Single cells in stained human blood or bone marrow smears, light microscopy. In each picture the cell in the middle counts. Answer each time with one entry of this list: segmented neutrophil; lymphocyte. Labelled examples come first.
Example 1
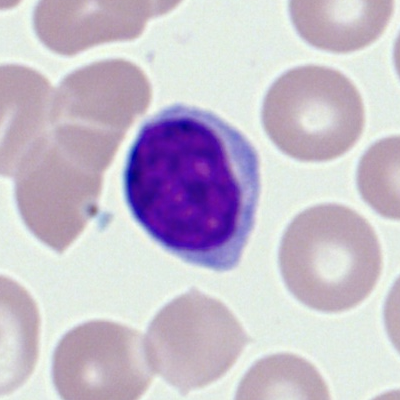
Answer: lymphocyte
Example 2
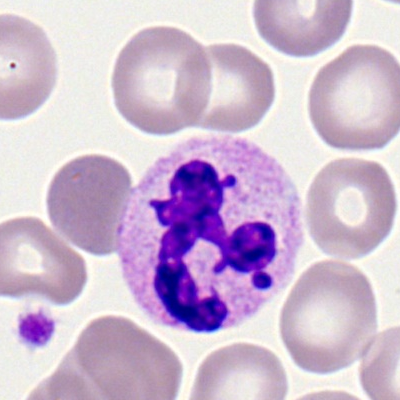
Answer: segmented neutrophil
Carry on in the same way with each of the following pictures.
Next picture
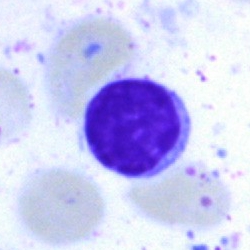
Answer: lymphocyte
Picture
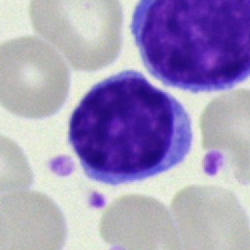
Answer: lymphocyte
